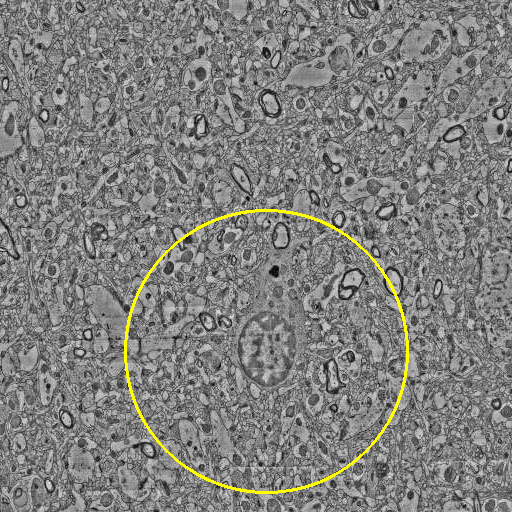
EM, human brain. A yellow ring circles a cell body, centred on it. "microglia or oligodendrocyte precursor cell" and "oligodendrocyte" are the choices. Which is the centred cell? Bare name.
oligodendrocyte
